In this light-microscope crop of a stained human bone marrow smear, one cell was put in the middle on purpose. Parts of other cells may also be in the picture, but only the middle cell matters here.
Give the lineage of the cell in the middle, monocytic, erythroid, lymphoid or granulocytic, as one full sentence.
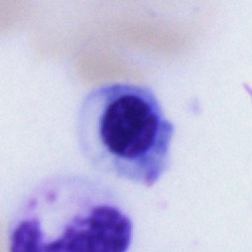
The cell right in the center of the crop is part of the erythroid line.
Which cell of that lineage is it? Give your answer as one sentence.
This particular crop is centered on an erythroblast.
